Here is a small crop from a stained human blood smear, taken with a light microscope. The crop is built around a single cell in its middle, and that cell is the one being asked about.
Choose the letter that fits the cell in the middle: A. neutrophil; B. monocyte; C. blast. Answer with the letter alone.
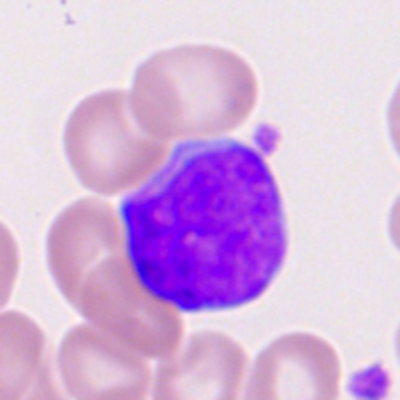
C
